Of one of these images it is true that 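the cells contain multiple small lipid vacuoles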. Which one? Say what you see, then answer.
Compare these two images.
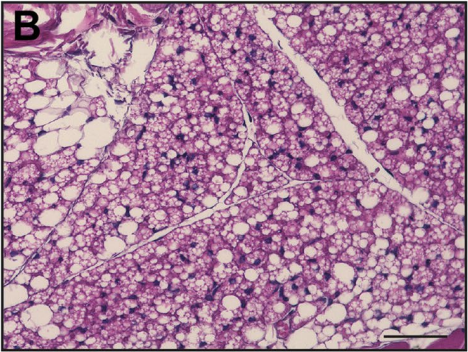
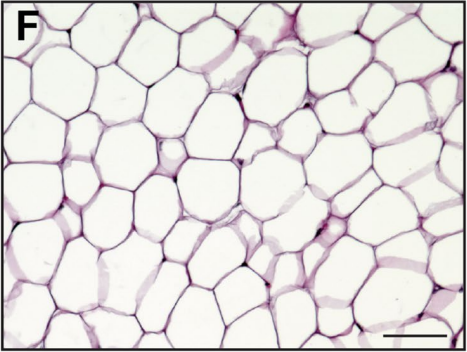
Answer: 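Second image: each cell has a single large clear vacuole with a thin rim. First image: cells are packed with many small clear vacuoles in pink cytoplasm.
Conclusion: the first image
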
